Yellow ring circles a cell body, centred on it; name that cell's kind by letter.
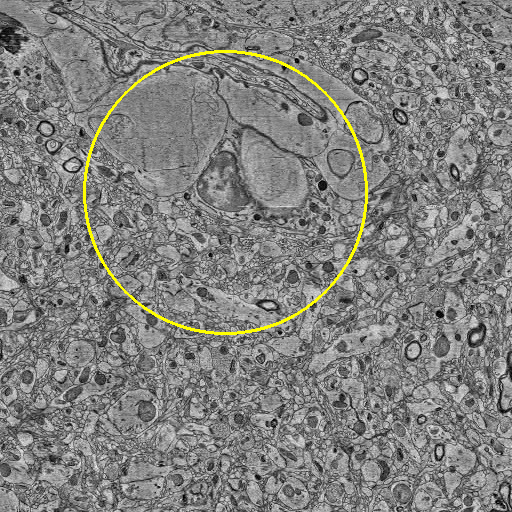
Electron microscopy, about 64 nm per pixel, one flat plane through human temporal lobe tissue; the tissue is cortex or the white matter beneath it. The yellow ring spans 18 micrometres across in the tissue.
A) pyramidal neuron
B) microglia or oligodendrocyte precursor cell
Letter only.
B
